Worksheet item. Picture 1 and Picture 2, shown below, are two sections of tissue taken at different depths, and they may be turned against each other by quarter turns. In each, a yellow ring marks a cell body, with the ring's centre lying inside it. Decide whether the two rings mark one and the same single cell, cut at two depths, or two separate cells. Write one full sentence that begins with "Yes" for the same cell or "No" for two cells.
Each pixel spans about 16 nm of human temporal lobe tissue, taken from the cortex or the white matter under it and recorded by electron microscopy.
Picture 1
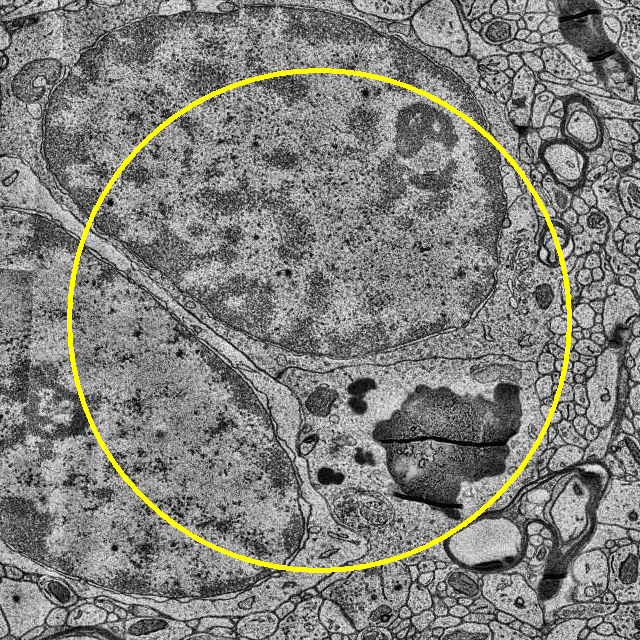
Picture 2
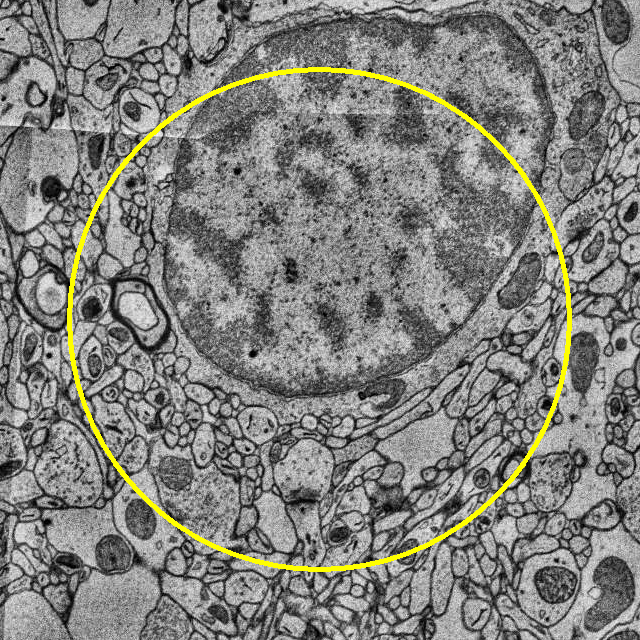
Yes, the two rings belong to one cell, not to two.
